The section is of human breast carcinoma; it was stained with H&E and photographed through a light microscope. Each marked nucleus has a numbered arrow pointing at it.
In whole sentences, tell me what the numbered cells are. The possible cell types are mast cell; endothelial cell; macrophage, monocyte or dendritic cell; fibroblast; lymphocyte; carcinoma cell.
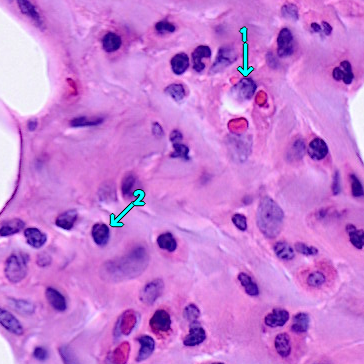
Cell 1 is an endothelial cell and cell 2 is a lymphocyte.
